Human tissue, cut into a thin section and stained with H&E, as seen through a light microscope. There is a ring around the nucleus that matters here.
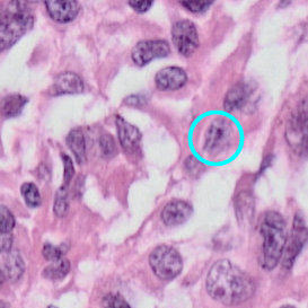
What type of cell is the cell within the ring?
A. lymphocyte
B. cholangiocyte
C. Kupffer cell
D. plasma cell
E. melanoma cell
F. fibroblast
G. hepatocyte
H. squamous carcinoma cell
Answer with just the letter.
E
